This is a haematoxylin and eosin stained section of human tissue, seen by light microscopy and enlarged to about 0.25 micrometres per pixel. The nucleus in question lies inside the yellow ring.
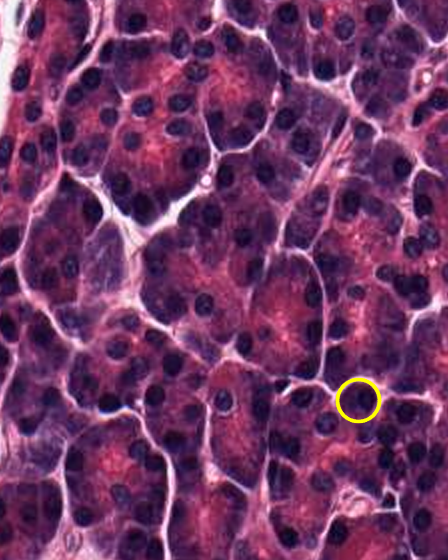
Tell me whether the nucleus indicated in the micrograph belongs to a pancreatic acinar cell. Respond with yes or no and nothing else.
yes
